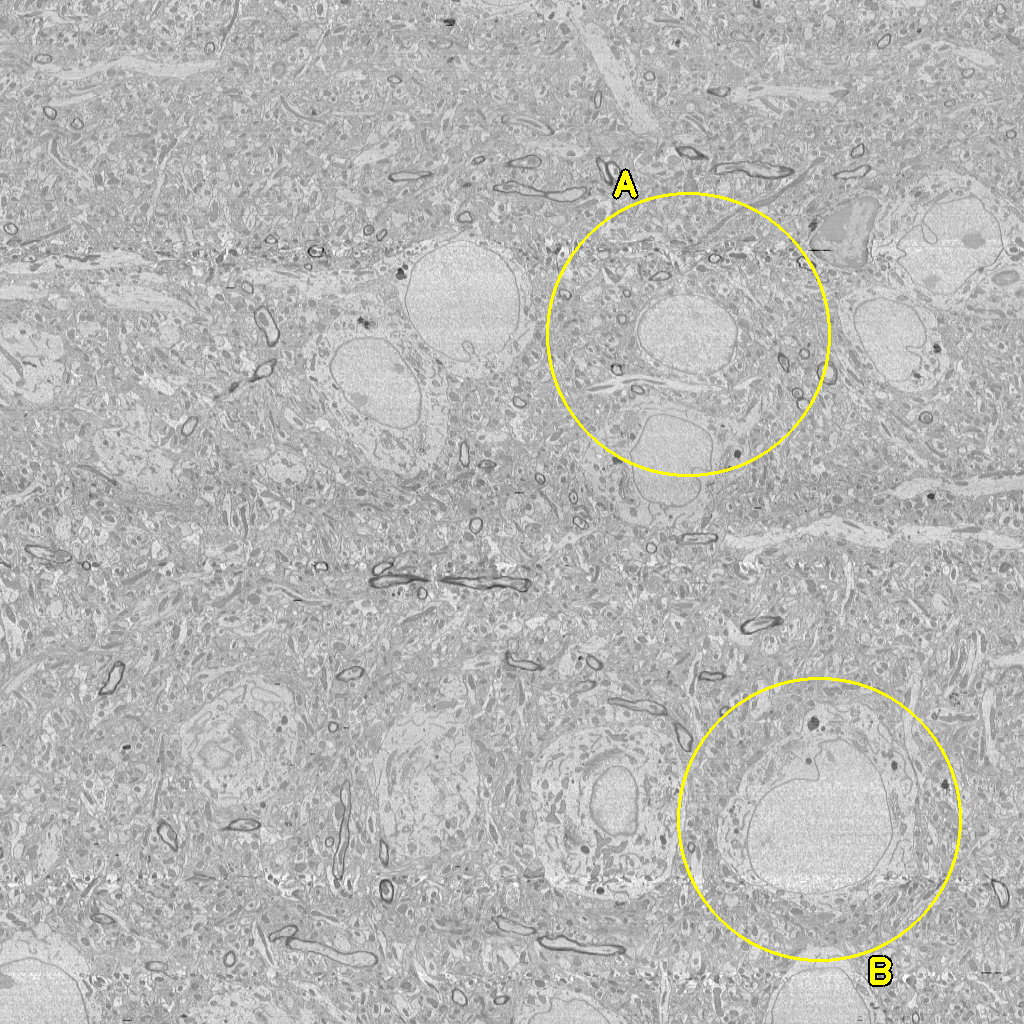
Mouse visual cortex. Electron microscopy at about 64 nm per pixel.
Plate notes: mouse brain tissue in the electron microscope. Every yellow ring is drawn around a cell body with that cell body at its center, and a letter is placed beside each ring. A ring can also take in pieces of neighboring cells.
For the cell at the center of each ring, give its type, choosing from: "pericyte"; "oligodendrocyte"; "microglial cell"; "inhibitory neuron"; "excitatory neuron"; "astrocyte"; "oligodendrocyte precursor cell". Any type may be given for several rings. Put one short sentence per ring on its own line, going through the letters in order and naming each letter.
Ring A shows an astrocyte at the center.
Ring B shows an excitatory neuron at the center.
